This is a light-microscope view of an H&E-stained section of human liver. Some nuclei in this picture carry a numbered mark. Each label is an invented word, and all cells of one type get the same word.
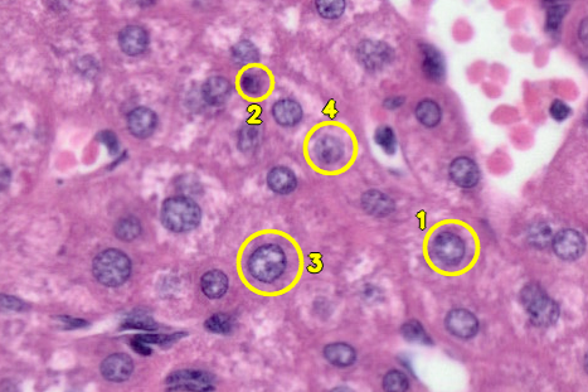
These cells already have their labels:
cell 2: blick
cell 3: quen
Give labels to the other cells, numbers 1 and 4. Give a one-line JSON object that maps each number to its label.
{"1": "quen", "4": "quen"}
